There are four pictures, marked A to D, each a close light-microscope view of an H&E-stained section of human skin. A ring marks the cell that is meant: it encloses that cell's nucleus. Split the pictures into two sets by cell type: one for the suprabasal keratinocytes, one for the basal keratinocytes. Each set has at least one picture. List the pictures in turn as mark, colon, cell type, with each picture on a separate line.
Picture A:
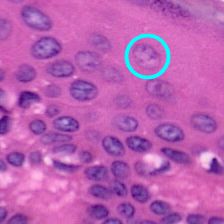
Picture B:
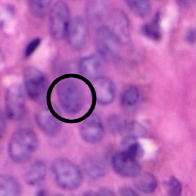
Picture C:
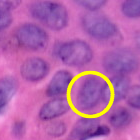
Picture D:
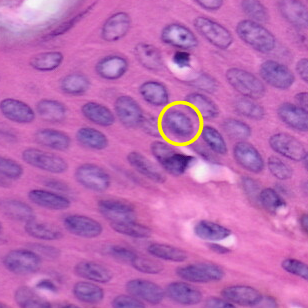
A: suprabasal keratinocyte
B: basal keratinocyte
C: basal keratinocyte
D: suprabasal keratinocyte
